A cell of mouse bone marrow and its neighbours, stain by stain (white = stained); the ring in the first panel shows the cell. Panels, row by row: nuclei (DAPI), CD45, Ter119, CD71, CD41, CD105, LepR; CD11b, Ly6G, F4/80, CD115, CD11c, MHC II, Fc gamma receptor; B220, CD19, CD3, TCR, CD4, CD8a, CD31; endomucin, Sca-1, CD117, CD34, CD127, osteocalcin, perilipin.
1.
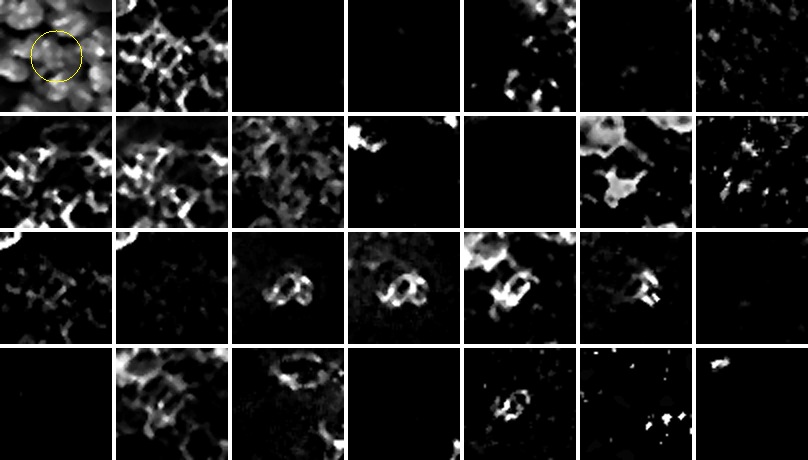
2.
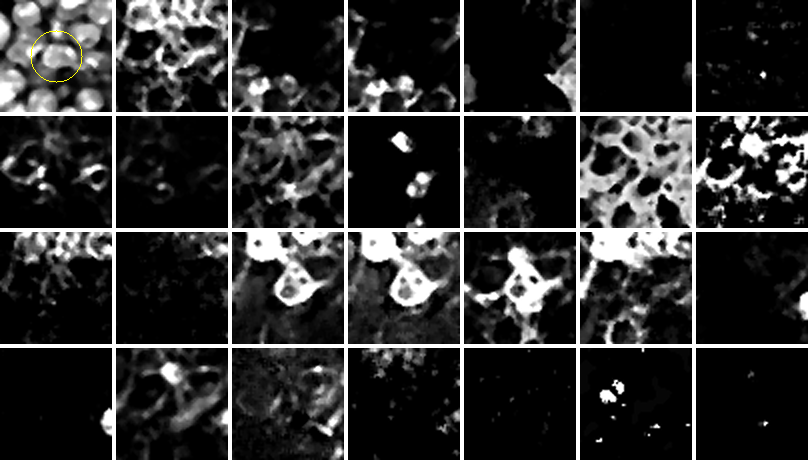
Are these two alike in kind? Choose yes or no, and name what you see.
Yes. CD4 T cells.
